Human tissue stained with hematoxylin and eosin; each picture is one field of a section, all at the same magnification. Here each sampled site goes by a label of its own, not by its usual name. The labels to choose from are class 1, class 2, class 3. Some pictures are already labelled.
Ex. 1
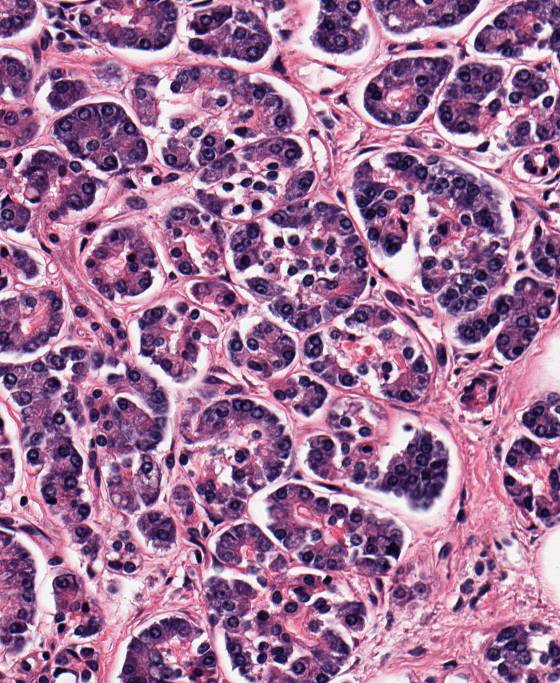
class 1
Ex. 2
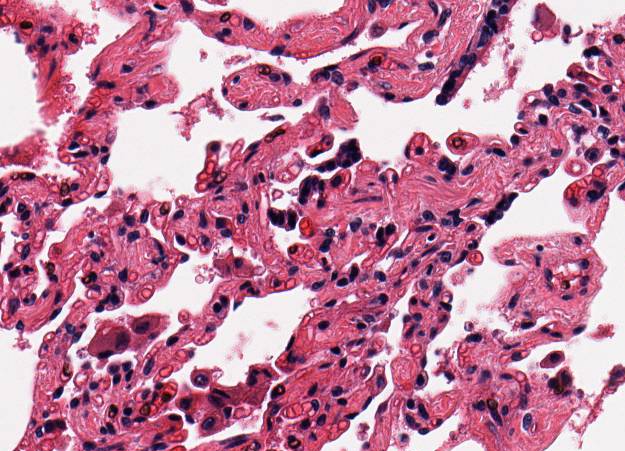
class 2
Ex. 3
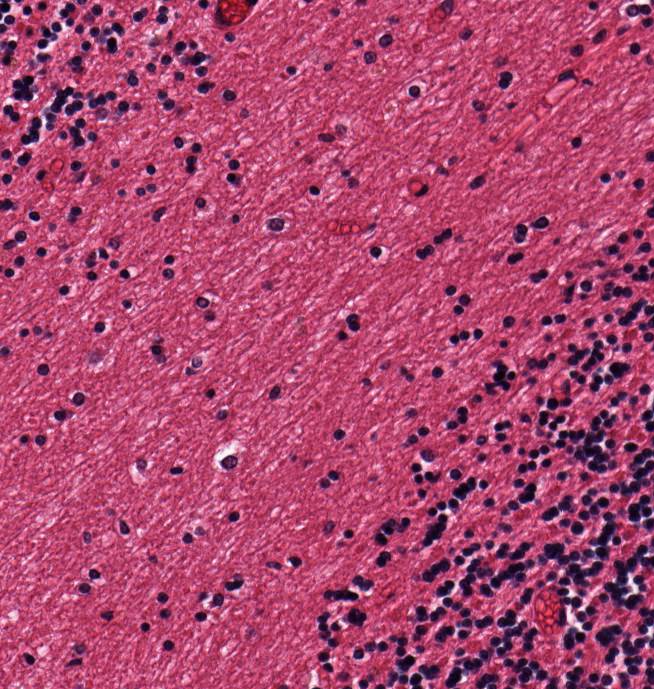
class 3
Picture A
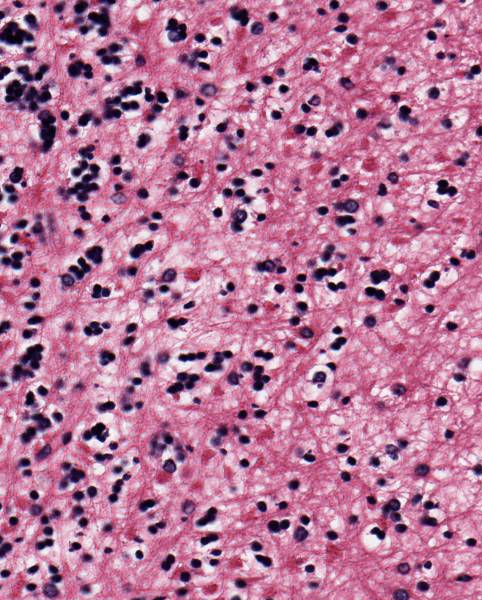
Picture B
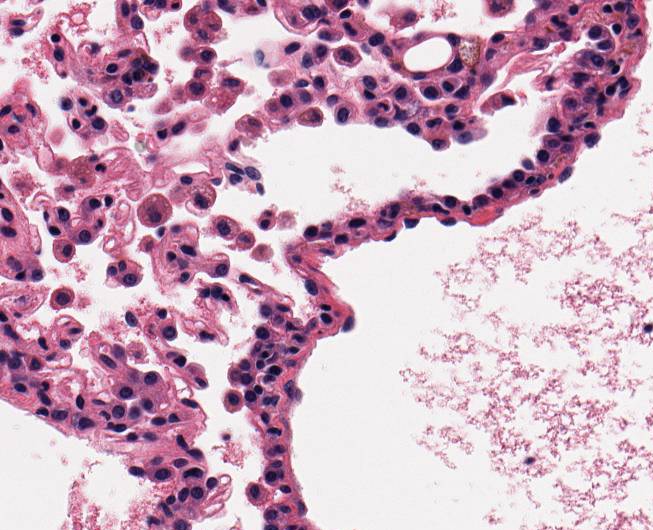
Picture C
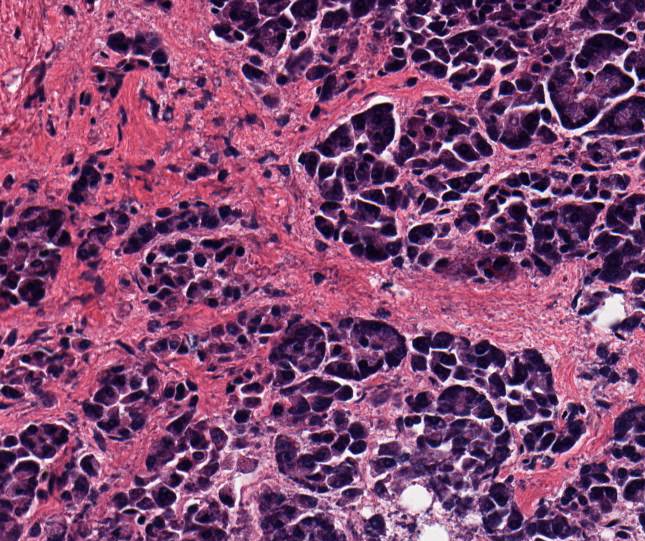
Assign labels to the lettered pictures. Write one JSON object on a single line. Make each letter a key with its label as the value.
{"A": "class 3", "B": "class 2", "C": "class 1"}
